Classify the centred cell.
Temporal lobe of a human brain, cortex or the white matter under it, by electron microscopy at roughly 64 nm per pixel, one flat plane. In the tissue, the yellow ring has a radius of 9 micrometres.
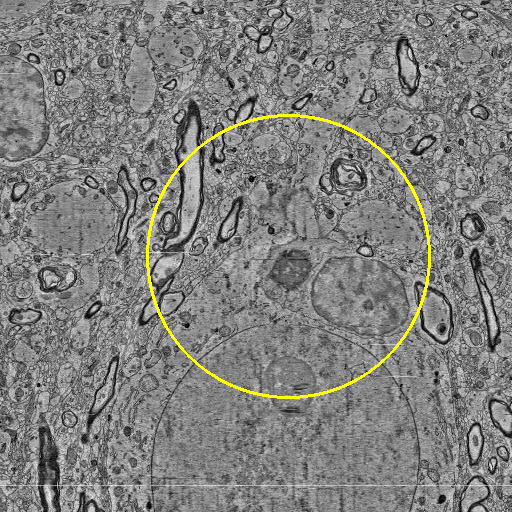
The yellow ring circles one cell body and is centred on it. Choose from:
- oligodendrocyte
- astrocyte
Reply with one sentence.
The ring is centred on an oligodendrocyte.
